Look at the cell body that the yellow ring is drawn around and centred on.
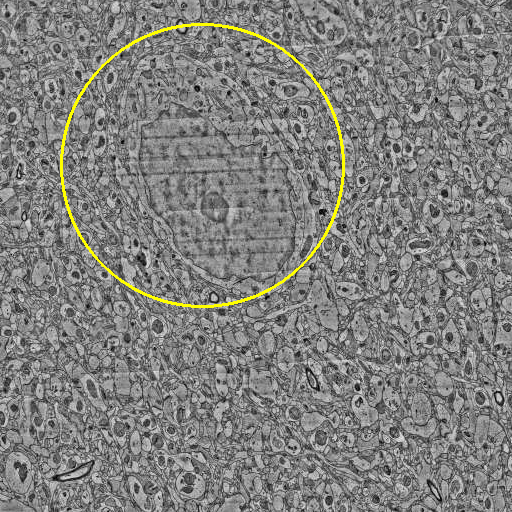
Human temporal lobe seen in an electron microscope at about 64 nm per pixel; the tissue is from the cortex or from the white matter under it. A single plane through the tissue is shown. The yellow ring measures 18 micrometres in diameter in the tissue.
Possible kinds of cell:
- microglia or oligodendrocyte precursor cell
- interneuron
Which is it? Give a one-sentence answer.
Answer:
The centred cell body is that of an interneuron.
